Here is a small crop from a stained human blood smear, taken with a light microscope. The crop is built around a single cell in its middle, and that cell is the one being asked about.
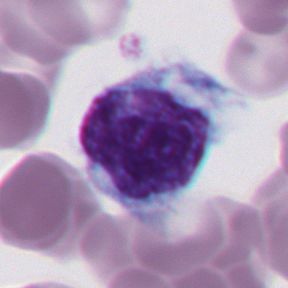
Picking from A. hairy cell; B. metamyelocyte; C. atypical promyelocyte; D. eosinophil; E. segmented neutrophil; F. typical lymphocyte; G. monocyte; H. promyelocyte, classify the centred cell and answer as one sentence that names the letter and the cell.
Option G is right, the centrally situated cell being a monocyte.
